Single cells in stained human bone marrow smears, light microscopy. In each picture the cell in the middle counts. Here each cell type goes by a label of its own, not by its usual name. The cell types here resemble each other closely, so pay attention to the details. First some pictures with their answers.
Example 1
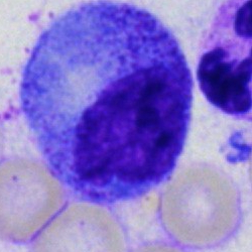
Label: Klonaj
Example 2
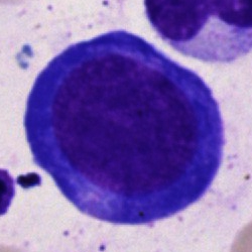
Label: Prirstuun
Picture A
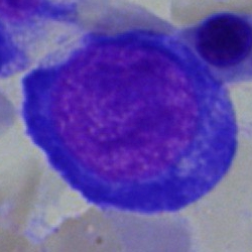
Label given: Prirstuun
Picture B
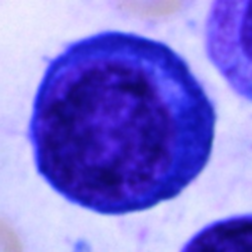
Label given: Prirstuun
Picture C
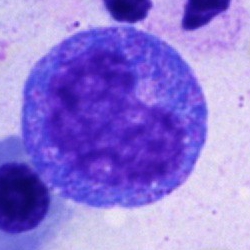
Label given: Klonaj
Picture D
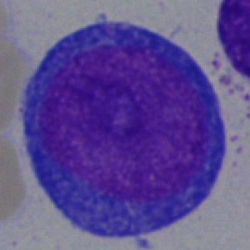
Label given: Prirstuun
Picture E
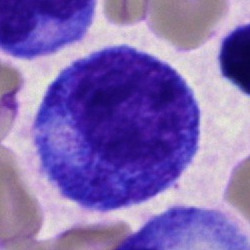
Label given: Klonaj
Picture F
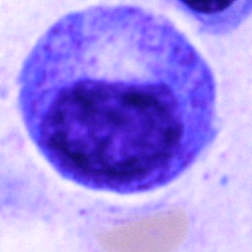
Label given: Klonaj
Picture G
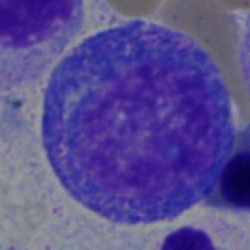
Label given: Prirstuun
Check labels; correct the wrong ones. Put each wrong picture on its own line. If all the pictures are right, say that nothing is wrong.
G should be Klonaj, not Prirstuun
